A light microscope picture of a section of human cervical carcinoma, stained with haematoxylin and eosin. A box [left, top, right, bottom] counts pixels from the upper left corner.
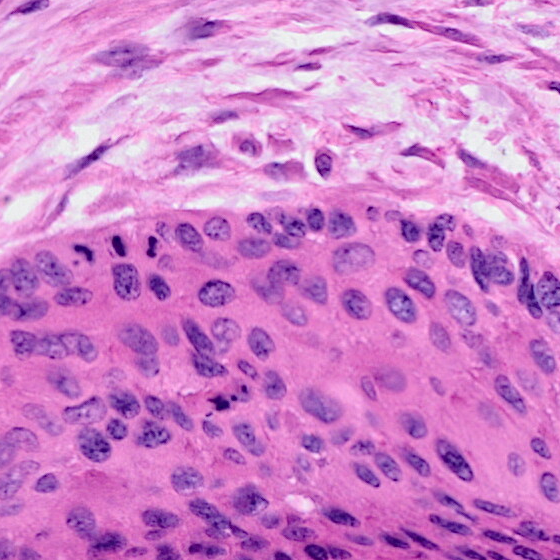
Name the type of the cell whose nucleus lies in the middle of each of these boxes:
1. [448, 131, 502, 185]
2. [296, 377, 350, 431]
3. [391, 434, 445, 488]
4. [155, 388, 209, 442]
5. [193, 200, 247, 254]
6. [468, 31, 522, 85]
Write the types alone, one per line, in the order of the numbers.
fibroblast
squamous carcinoma cell
squamous carcinoma cell
squamous carcinoma cell
squamous carcinoma cell
fibroblast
